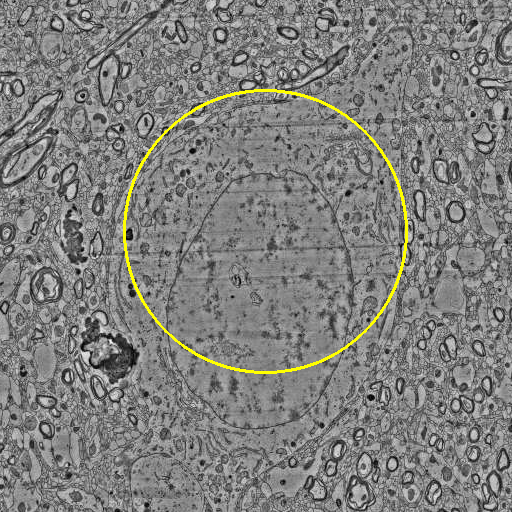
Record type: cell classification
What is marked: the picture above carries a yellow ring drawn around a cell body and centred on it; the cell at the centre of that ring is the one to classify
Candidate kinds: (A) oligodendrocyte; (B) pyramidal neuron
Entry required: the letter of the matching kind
B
